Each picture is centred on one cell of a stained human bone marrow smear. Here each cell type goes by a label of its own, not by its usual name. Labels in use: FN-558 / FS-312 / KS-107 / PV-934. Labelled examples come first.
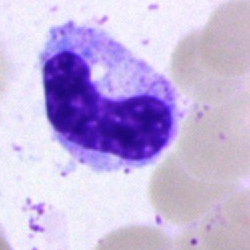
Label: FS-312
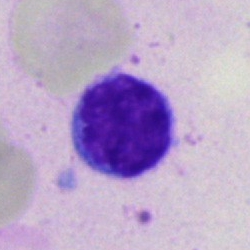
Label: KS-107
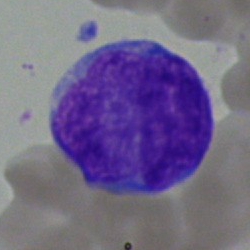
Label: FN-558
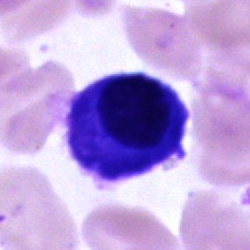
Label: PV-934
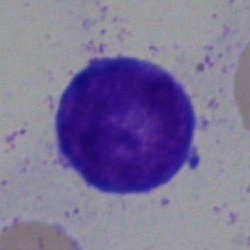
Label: FN-558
